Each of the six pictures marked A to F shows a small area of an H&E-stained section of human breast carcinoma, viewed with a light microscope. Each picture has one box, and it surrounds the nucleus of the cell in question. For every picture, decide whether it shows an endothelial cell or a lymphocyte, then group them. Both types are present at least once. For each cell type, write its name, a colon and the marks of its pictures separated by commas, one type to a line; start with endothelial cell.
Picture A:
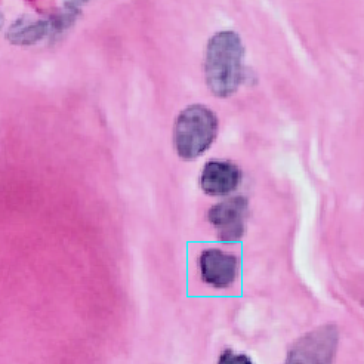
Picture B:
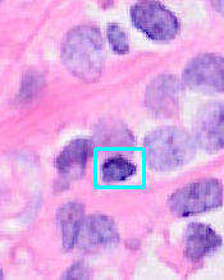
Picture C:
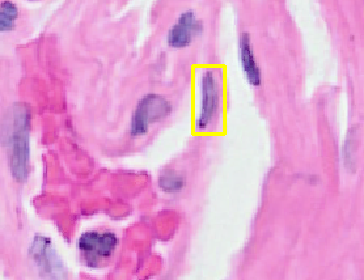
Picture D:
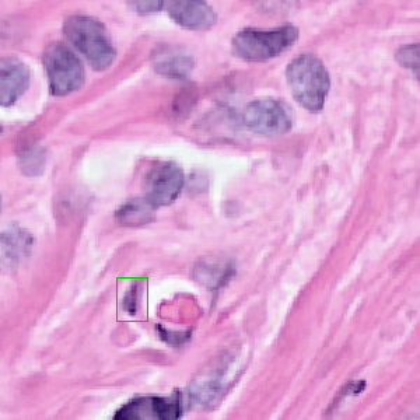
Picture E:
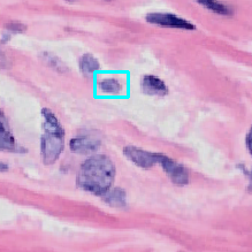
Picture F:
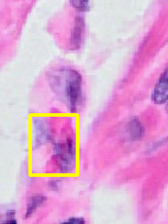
endothelial cell: C, D, F
lymphocyte: A, B, E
